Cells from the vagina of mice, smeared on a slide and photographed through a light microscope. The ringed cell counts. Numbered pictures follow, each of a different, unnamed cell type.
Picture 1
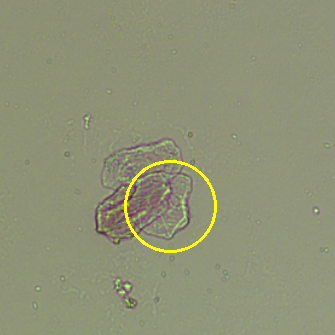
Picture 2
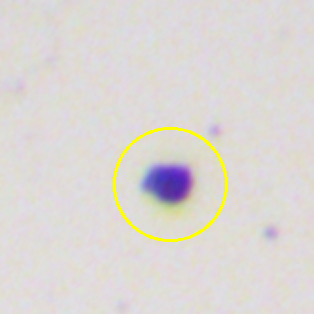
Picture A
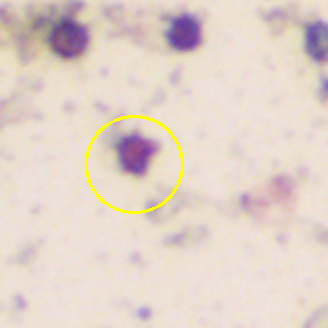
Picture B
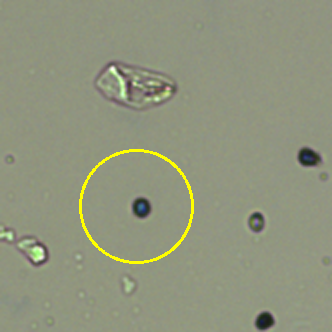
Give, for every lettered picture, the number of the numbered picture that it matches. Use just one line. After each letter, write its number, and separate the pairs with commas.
A 2, B 2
